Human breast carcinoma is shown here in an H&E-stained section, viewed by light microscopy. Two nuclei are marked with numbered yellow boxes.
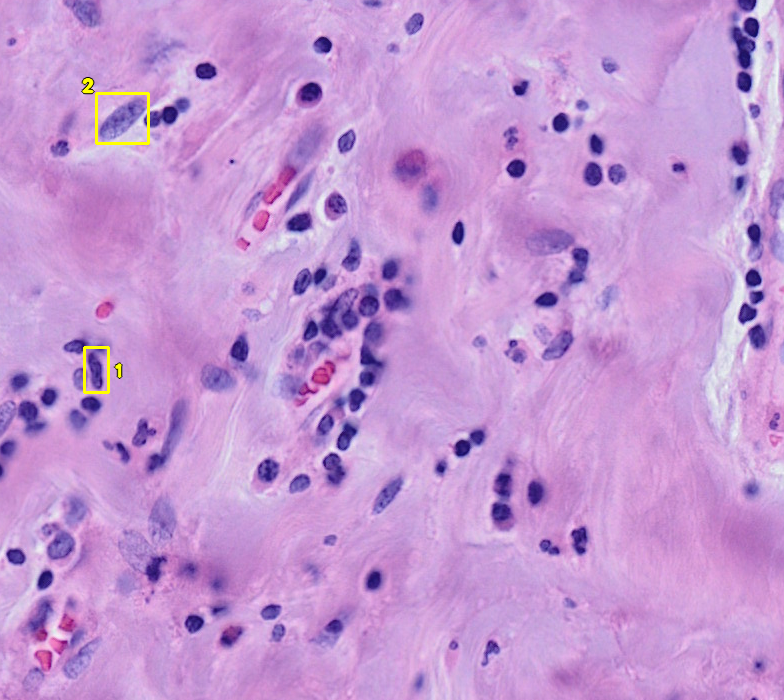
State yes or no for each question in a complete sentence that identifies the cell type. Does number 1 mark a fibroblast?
No, cell 1, which is a lymphocyte, is not a fibroblast.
